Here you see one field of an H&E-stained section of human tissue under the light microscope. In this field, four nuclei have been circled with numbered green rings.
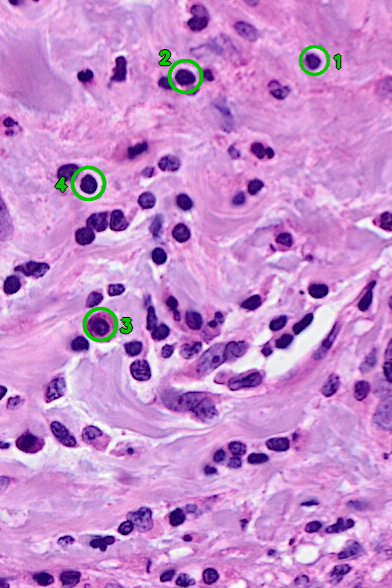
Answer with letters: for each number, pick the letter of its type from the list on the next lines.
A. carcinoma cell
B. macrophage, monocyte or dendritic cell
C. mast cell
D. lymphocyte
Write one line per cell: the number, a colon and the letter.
1: D
2: D
3: C
4: D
